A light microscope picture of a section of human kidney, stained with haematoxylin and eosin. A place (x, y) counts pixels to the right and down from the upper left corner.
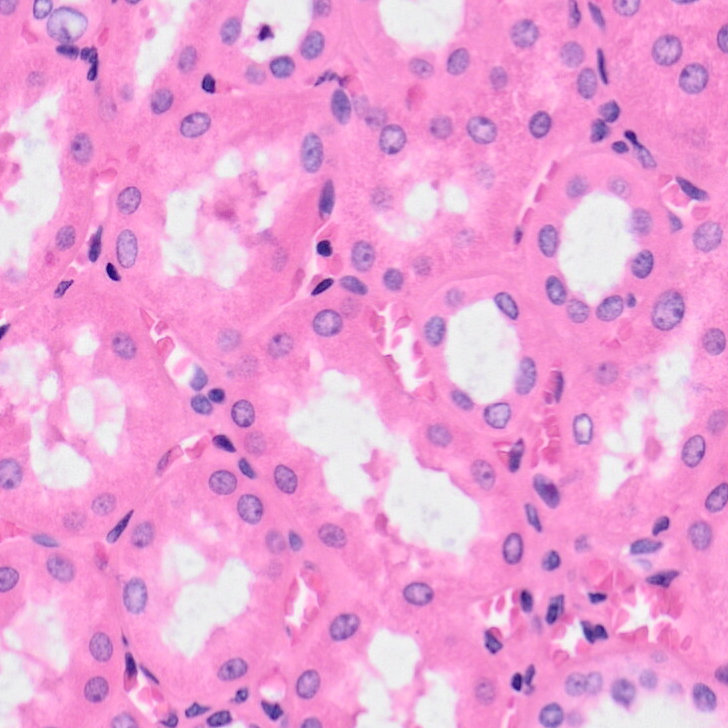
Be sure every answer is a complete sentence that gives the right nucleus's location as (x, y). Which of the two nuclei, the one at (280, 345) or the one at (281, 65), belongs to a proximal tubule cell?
The nucleus of a proximal tubule cell lies at (280, 345), not at the other position.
